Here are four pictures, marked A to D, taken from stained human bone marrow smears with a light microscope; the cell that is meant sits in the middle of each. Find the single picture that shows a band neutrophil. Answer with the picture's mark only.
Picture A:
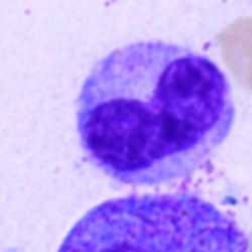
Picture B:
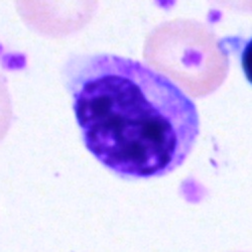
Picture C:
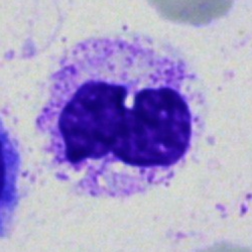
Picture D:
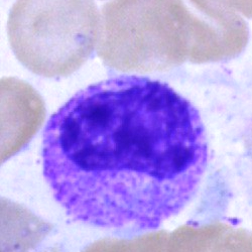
C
